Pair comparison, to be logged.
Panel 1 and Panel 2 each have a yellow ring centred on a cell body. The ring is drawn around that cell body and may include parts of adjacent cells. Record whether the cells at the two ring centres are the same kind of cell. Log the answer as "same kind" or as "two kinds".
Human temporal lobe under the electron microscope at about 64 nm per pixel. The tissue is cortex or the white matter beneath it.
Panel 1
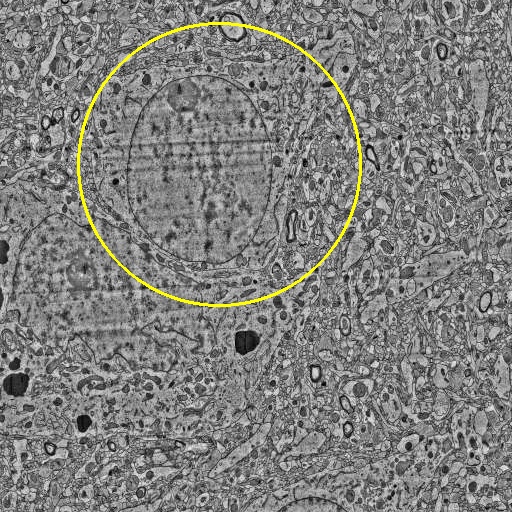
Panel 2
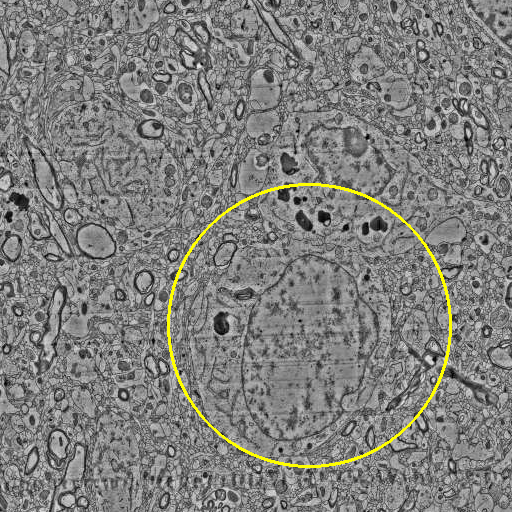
same kind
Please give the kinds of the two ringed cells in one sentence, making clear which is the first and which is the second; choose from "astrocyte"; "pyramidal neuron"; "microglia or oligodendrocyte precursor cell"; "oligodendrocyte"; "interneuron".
Each one of the two ringed cells is a pyramidal neuron.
